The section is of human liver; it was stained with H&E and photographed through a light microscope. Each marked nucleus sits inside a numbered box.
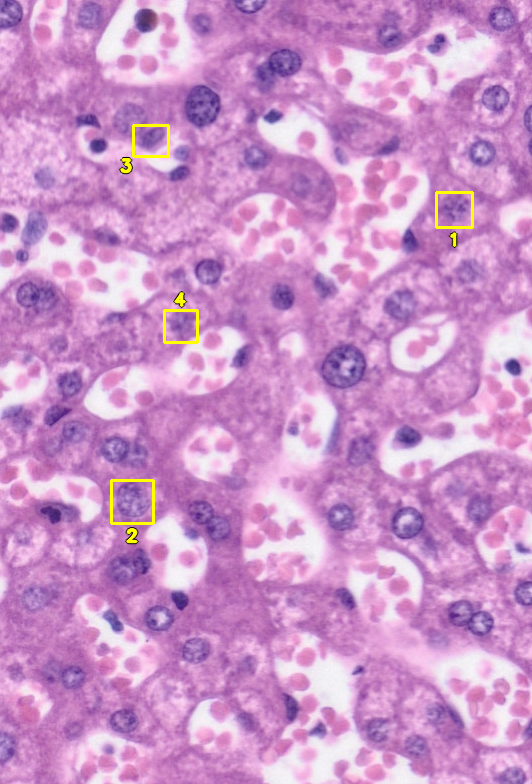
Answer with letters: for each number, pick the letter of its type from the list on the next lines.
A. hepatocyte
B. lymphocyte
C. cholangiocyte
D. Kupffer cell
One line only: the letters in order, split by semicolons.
A; A; D; A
